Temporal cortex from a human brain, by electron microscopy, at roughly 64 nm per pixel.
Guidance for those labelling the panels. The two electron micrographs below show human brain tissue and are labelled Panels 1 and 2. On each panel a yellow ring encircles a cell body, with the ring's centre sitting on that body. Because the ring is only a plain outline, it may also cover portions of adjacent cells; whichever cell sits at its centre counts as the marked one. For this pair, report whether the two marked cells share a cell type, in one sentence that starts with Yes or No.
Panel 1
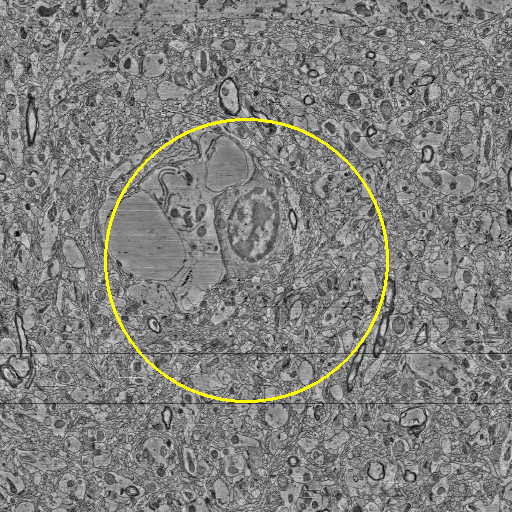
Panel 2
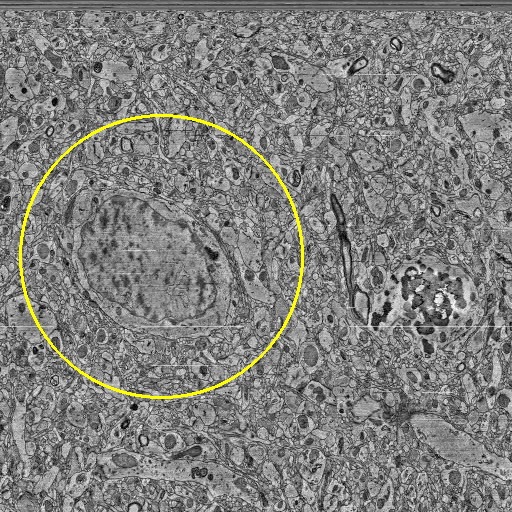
No, in Panel 1 and Panel 2 the marked cells at the ring centres are of two types.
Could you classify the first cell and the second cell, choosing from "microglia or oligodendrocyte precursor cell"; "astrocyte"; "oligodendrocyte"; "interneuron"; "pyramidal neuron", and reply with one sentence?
The second cell is an interneuron, while the first is an oligodendrocyte.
